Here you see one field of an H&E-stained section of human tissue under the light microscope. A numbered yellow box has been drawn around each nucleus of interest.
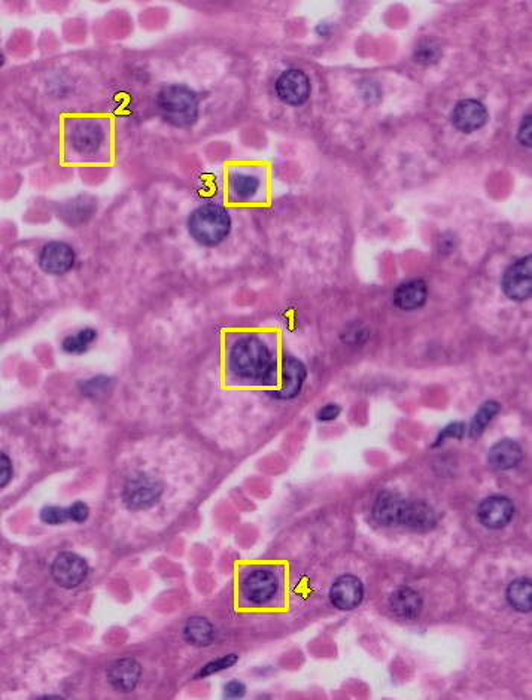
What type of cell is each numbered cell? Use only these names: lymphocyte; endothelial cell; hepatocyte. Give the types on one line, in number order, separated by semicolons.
hepatocyte; hepatocyte; lymphocyte; hepatocyte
